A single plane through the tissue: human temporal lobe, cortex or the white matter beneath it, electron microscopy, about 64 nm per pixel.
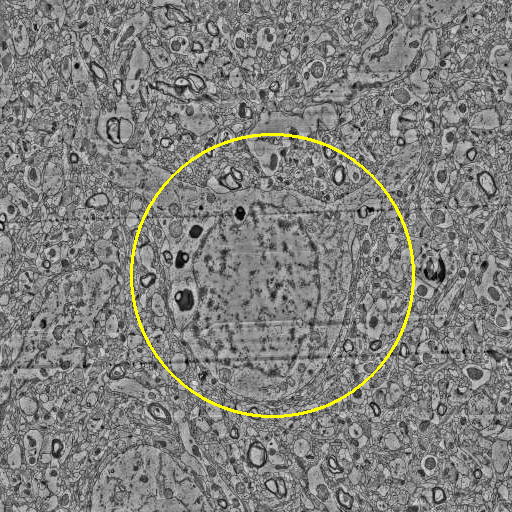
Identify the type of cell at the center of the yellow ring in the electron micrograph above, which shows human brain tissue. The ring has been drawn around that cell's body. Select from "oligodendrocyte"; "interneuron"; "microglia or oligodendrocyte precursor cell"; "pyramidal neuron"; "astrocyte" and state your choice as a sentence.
The yellow ring is centered on the body of an interneuron.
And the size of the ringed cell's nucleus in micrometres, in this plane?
Approximately 11 by 9 micrometers in this plane.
